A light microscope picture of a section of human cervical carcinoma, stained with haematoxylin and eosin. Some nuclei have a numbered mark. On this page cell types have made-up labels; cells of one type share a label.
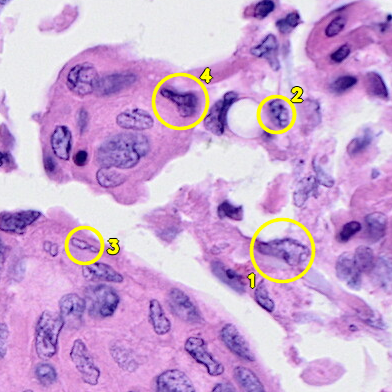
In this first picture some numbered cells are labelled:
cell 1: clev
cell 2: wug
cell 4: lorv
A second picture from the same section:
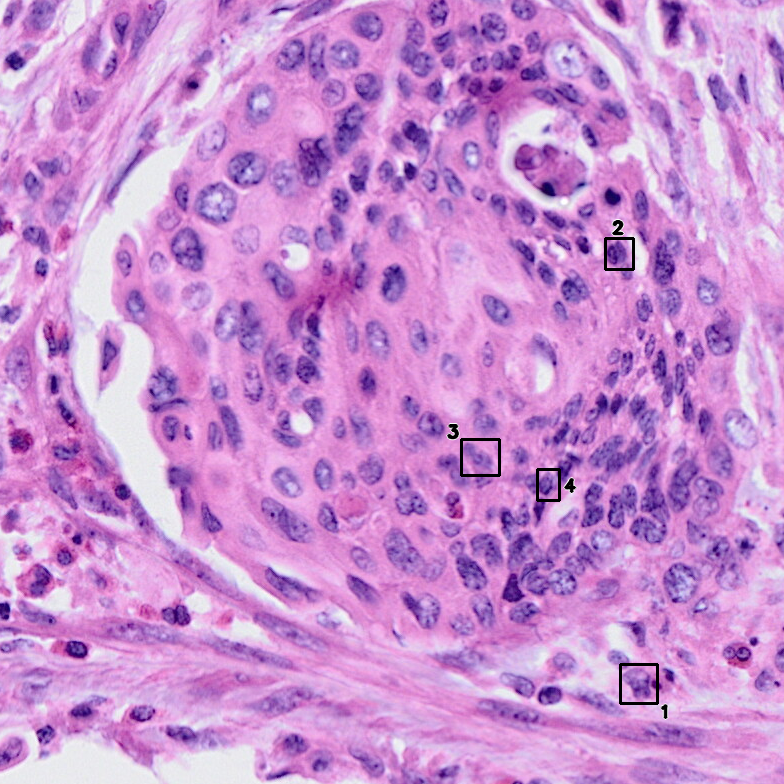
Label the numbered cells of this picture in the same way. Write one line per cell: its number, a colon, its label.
1: wug
2: lorv
3: lorv
4: lorv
